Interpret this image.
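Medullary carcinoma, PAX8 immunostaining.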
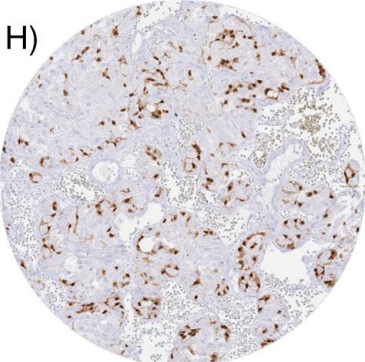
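Thyroid tumor with nests of cells with pale, unstained blue nuclei set in a pale stroma with red blood cells. Scattered among them are small groups of entrapped follicular epithelial cells with strongly brown nuclei, some lining small gland-like spaces.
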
